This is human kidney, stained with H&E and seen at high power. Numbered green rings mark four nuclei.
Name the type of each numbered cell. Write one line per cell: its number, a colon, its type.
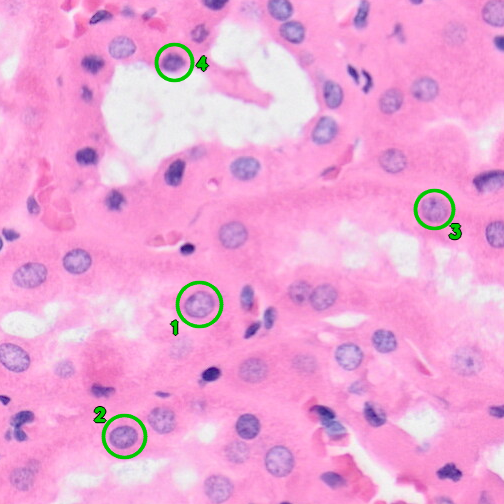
1: proximal tubule cell
2: proximal tubule cell
3: proximal tubule cell
4: loop of Henle or distal tubule cell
